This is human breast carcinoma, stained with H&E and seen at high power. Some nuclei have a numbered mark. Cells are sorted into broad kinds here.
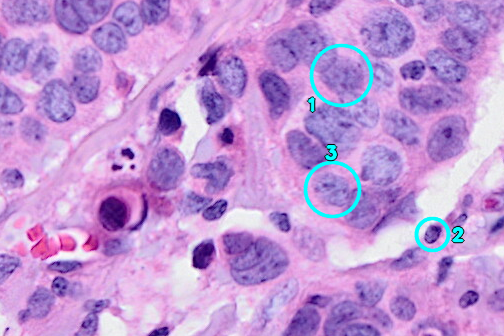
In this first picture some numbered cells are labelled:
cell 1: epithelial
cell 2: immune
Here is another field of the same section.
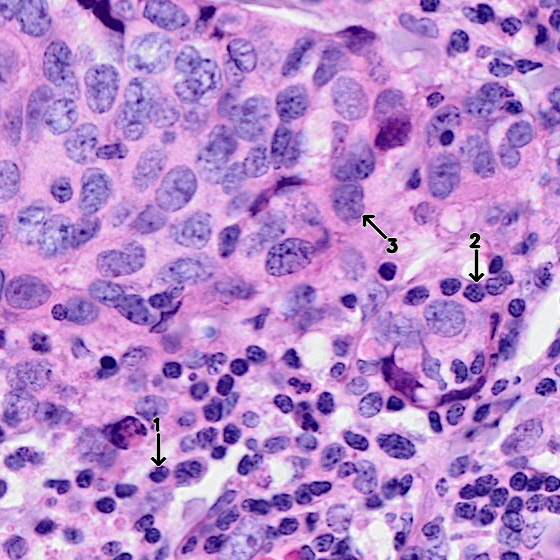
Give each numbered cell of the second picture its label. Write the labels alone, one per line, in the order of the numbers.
immune
immune
epithelial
